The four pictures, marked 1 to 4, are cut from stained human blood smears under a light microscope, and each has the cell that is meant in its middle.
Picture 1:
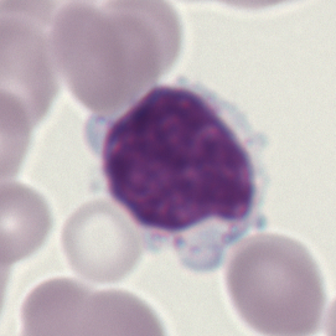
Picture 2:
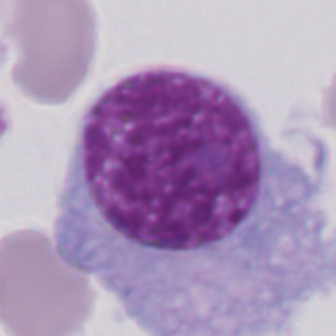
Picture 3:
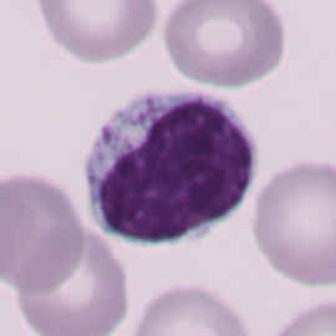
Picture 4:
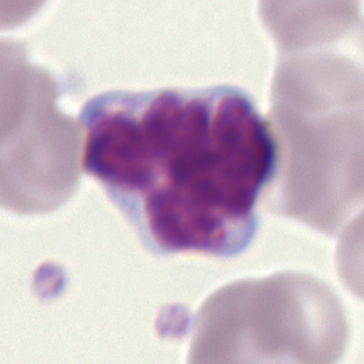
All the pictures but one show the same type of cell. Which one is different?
2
